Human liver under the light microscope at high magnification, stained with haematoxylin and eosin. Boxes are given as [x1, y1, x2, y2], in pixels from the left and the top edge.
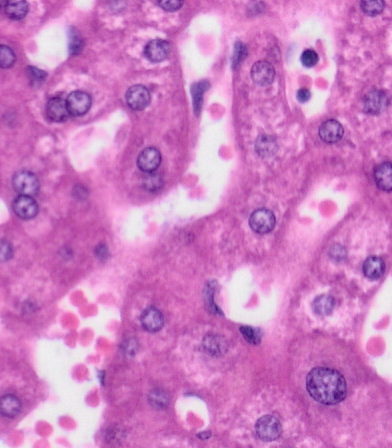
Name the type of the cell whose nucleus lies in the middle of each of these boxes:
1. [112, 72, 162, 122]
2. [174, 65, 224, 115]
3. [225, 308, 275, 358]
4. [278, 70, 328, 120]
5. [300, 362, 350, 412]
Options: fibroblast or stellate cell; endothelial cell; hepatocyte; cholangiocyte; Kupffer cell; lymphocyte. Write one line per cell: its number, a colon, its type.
1: hepatocyte
2: Kupffer cell
3: fibroblast or stellate cell
4: lymphocyte
5: hepatocyte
